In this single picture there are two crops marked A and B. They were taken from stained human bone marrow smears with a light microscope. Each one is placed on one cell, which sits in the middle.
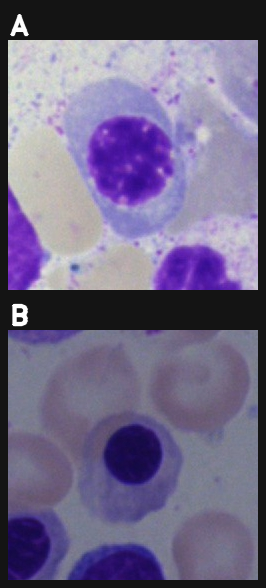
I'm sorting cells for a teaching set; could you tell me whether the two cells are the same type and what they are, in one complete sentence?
Yes, the cells at the centres of the two crops are erythroblasts.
